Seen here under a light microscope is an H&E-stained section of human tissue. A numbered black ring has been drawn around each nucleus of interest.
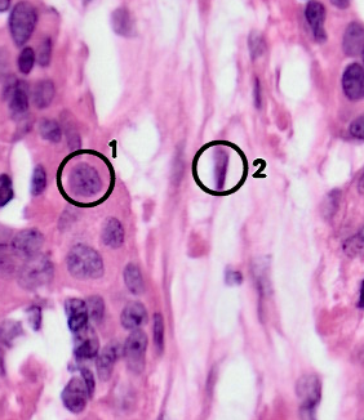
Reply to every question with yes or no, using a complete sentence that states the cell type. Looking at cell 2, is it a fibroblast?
Yes, the cell distinguished by number 2 is a fibroblast.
